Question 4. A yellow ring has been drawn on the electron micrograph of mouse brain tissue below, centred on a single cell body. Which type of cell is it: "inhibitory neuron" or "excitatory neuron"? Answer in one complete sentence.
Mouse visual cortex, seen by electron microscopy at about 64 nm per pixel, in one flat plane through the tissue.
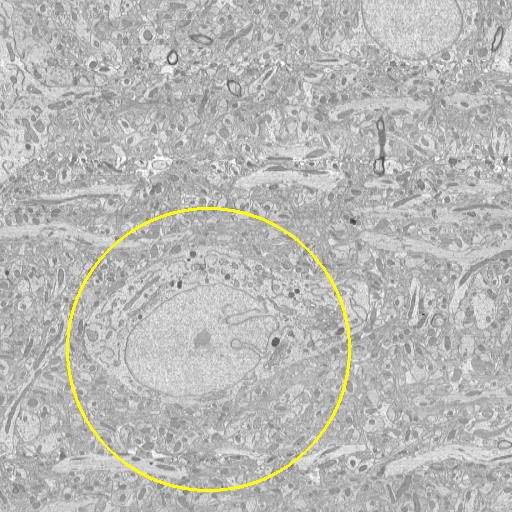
This cell body belongs to an inhibitory neuron.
